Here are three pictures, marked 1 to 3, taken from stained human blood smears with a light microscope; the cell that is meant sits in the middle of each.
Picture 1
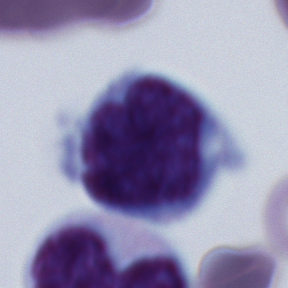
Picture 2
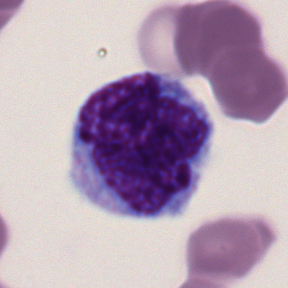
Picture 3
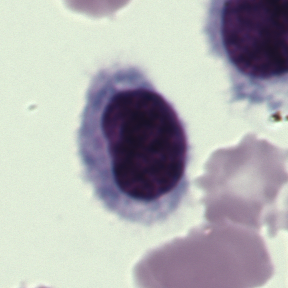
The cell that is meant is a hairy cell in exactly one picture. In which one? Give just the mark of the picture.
3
